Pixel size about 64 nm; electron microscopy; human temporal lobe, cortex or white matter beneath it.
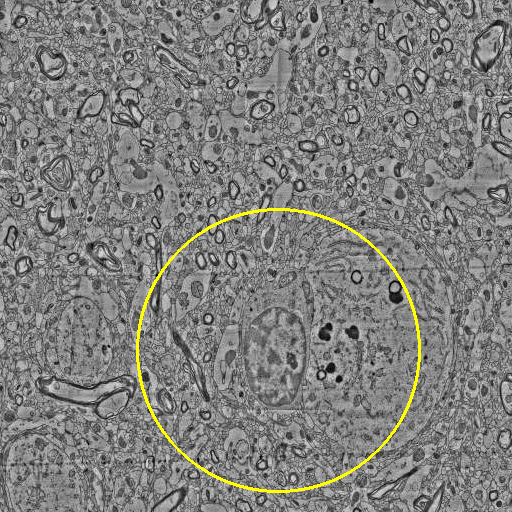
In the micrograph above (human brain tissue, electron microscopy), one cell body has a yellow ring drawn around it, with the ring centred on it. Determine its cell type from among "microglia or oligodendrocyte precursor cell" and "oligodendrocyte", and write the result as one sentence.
The cell whose body is ringed is an oligodendrocyte.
